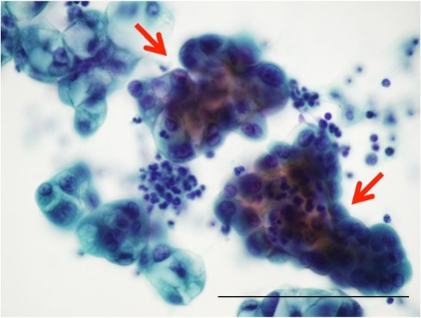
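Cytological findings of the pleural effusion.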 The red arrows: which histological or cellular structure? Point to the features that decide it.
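The arrows point to two dense, cohesive groups of many crowded cells. The centre of each group is orange-brown rather than nuclear.
Conclusion: Cell clusters with peripherally located irregular nuclei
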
